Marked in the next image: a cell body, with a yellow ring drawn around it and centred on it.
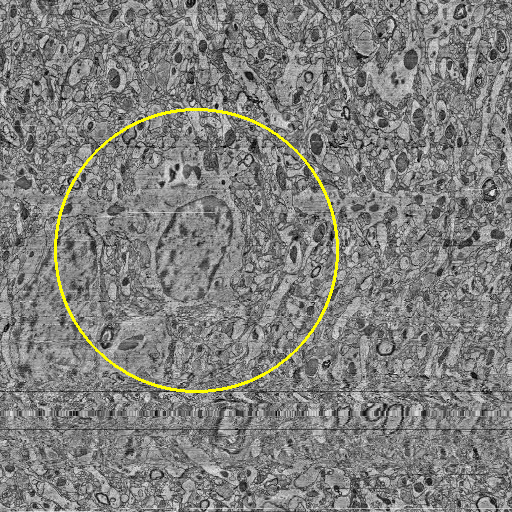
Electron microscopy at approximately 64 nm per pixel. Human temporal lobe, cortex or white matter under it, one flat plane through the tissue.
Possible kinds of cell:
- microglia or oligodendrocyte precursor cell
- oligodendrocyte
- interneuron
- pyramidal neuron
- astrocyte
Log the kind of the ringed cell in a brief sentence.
The ringed cell body is that of an astrocyte.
